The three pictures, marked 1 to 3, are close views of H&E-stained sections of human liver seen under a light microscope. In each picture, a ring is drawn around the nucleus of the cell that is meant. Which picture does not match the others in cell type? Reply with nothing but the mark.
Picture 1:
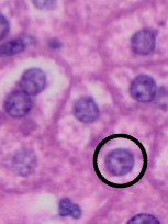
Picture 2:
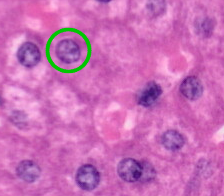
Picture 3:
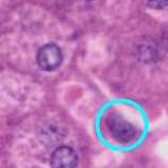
3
